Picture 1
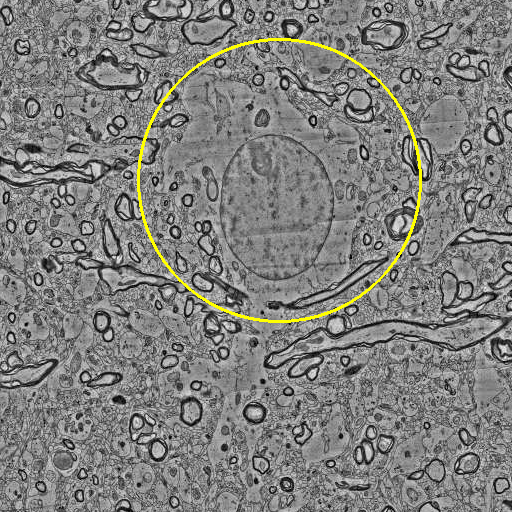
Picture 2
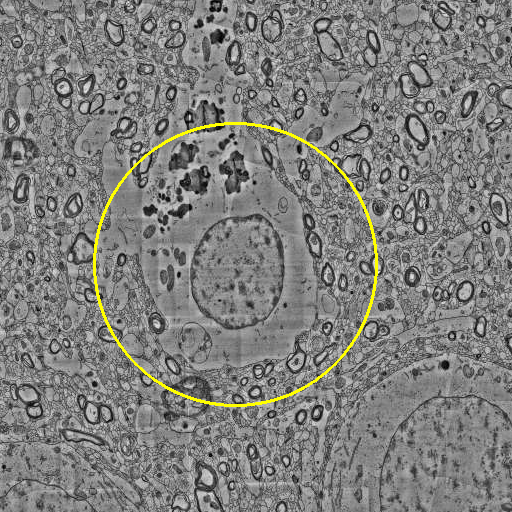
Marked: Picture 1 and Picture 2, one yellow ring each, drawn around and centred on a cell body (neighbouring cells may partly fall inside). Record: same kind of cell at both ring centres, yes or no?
yes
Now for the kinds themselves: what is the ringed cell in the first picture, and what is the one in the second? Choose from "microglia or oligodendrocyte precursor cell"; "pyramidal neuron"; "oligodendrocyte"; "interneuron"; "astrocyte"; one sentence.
The cell at the ring centre is an astrocyte in both pictures.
